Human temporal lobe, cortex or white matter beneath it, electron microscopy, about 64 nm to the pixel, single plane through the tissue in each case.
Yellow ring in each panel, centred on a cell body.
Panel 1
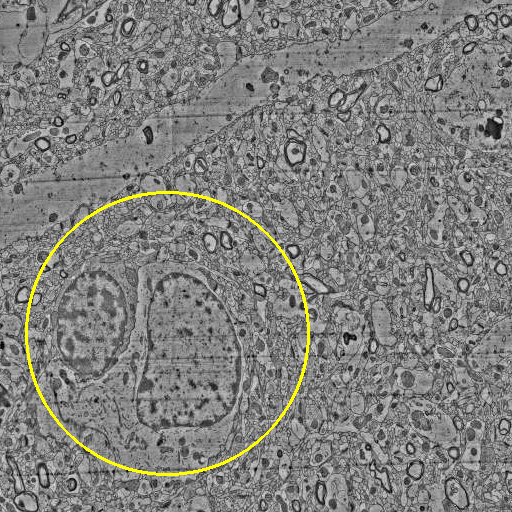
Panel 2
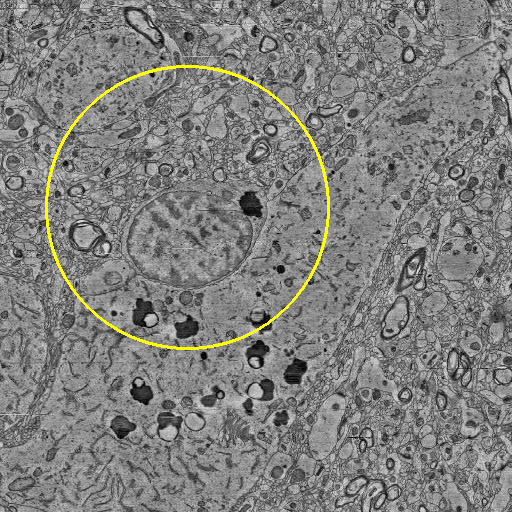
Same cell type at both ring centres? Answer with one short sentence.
No, the two cells are of two types.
